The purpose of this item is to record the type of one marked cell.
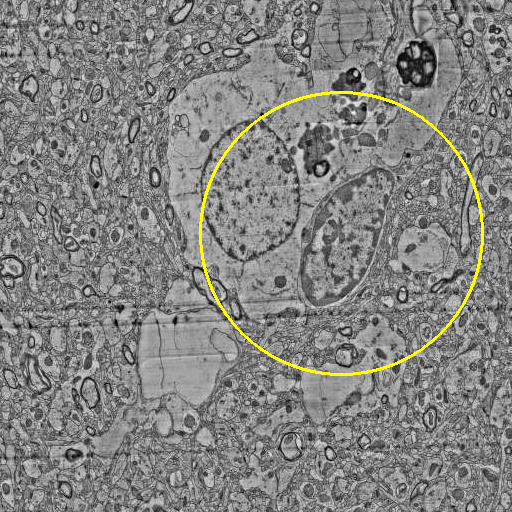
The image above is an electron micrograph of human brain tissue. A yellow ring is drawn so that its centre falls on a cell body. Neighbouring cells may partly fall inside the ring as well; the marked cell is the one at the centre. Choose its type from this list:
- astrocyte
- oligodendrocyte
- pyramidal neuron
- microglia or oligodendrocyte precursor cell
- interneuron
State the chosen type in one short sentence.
What the ring marks here is a microglial cell or oligodendrocyte precursor cell.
